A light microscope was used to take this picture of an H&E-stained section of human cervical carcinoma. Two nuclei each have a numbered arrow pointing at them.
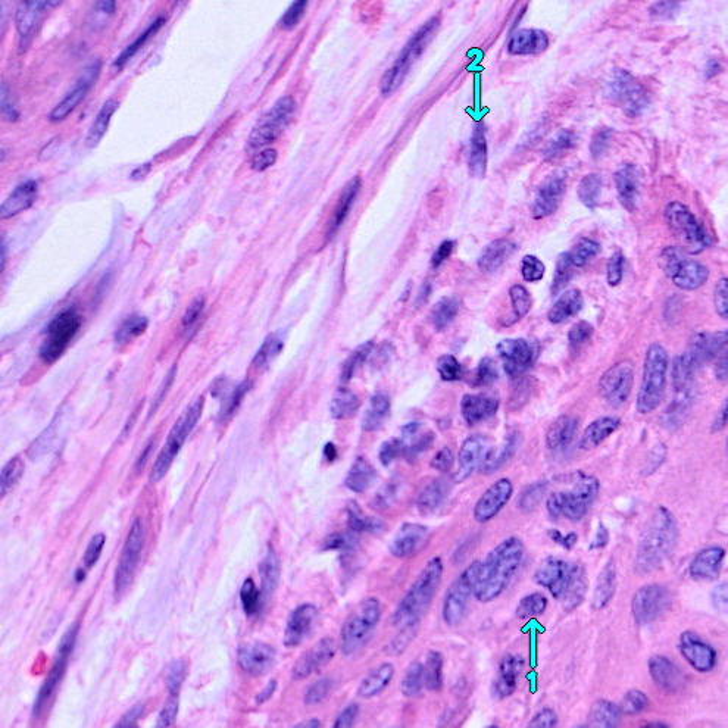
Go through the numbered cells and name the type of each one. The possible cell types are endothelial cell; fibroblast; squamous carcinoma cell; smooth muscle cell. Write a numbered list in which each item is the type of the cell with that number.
1. squamous carcinoma cell
2. fibroblast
